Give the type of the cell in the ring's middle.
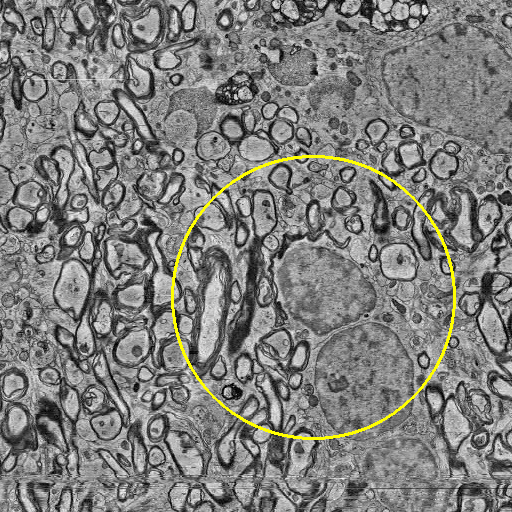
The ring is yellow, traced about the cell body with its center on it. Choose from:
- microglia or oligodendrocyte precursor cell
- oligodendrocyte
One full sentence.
Here, an oligodendrocyte is the cell lying at the center of the yellow ring.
